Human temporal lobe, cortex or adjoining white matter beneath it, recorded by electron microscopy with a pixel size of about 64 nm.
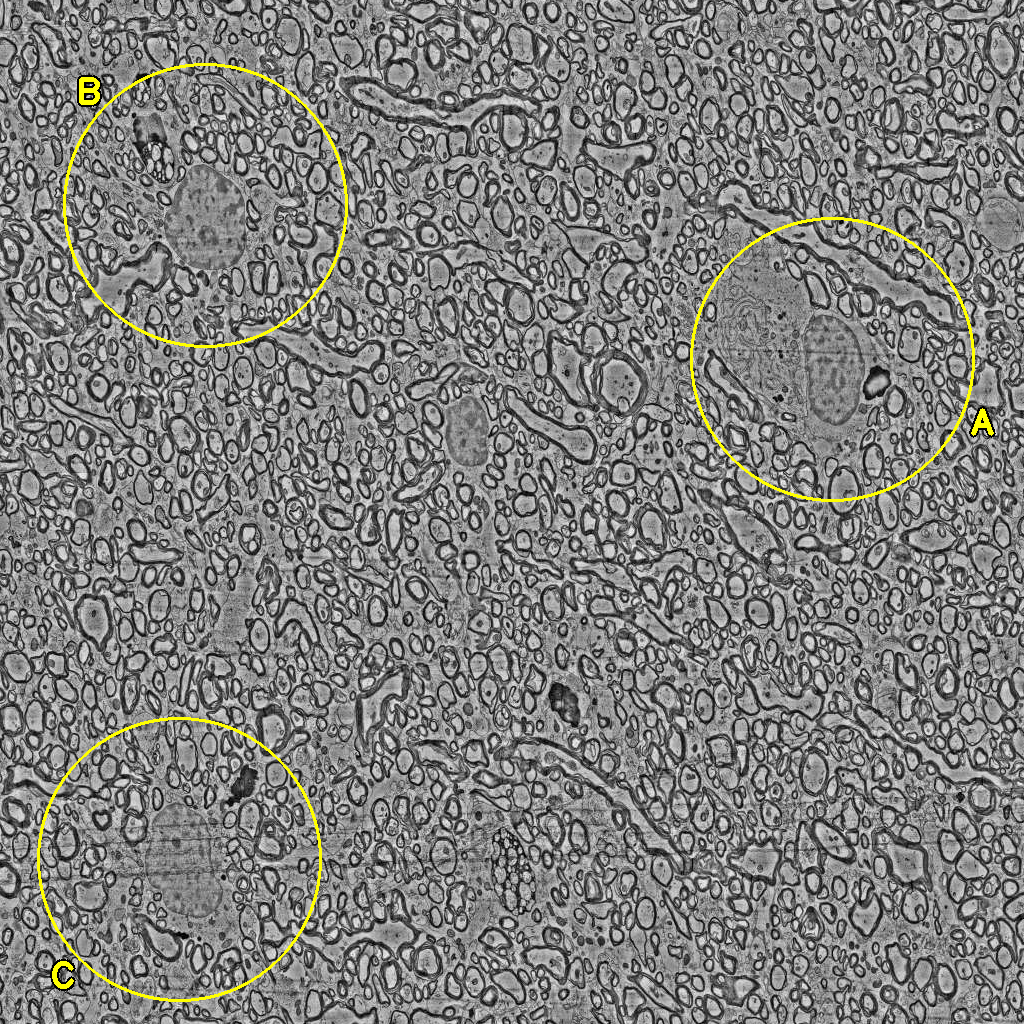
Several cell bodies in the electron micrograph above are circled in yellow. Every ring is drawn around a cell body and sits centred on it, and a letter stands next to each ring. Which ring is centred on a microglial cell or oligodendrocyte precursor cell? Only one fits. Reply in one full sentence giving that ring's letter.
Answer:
The ring centred on the cell asked for is Ring B.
